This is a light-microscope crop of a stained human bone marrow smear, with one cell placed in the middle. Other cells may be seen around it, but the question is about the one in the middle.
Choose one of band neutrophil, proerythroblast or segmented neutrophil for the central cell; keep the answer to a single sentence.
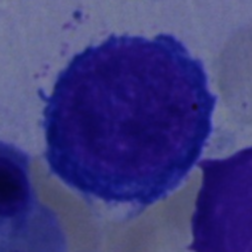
This crop is built around a proerythroblast at its centre.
